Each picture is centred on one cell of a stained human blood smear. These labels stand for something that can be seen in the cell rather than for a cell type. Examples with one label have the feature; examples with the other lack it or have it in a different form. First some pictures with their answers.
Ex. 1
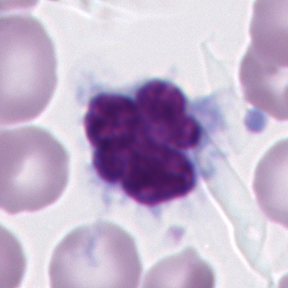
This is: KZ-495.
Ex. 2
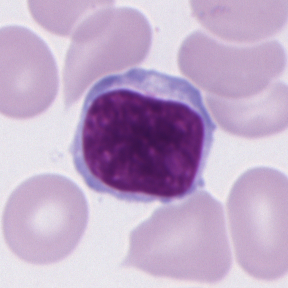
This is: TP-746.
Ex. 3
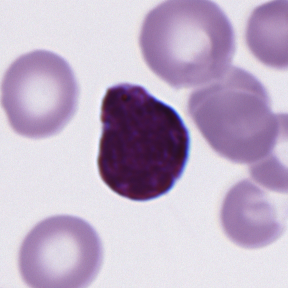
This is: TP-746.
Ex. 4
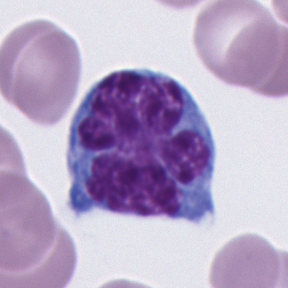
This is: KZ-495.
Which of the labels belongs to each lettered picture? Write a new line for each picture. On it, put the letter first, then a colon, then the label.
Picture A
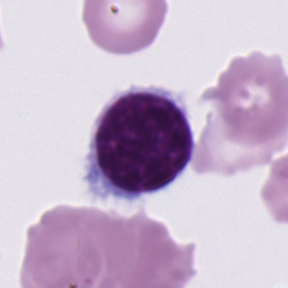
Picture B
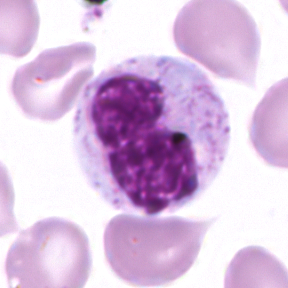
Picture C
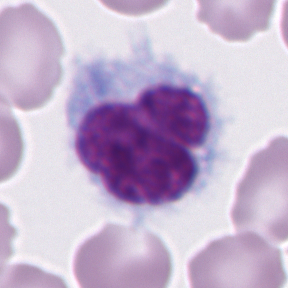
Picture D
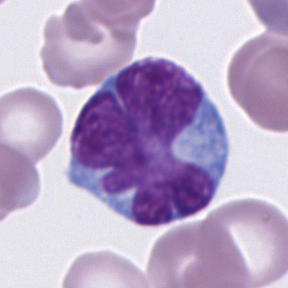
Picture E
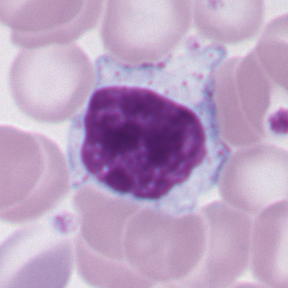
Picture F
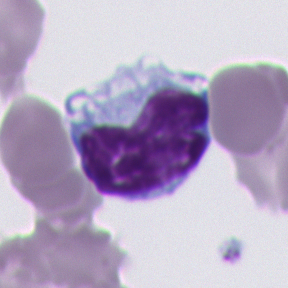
A: TP-746.
B: KZ-495.
C: KZ-495.
D: KZ-495.
E: TP-746.
F: TP-746.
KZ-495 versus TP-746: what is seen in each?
KZ-495, lobed nucleus; TP-746, single compact nucleus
